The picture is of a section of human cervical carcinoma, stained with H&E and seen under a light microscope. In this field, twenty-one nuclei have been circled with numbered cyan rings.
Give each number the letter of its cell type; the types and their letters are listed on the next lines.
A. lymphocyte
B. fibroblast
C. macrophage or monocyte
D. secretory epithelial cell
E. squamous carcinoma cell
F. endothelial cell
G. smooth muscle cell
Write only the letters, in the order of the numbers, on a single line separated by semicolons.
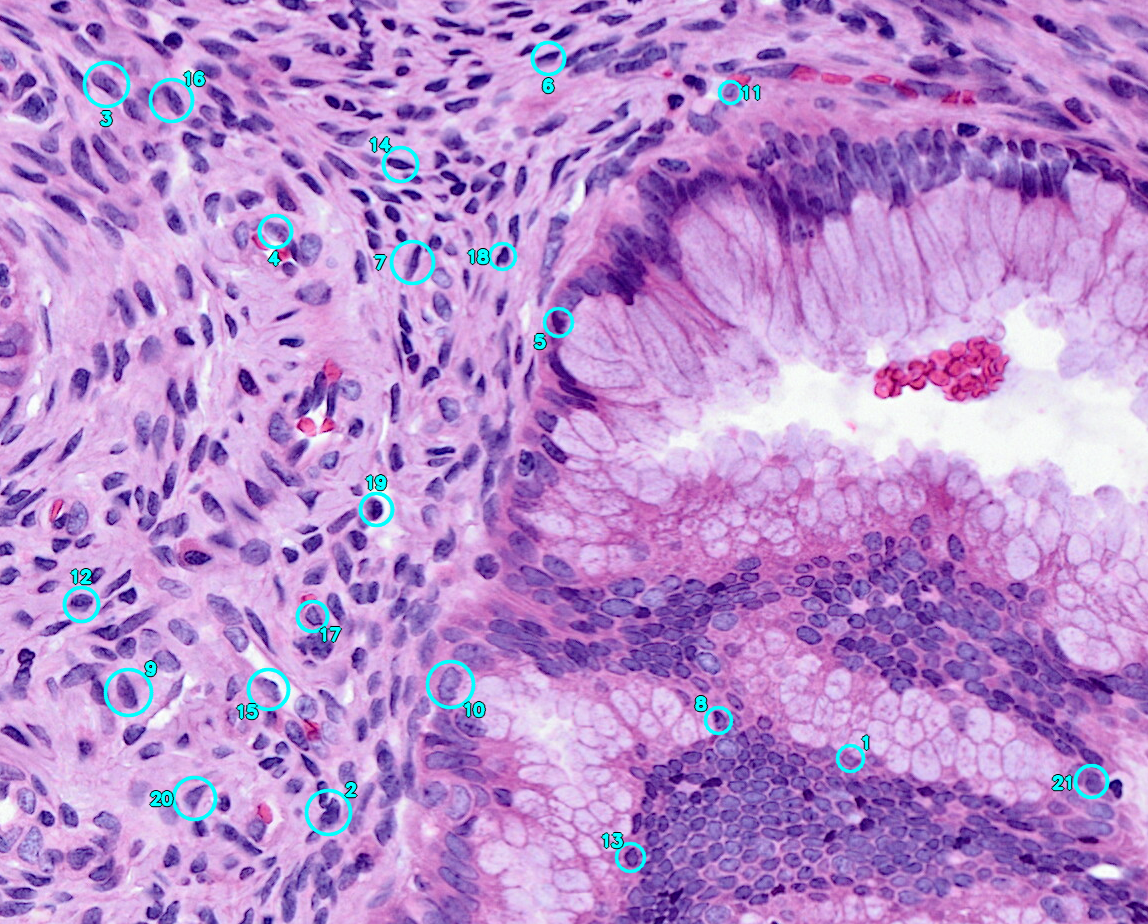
D; B; B; F; D; B; B; D; B; D; F; B; D; B; F; B; F; B; A; B; D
